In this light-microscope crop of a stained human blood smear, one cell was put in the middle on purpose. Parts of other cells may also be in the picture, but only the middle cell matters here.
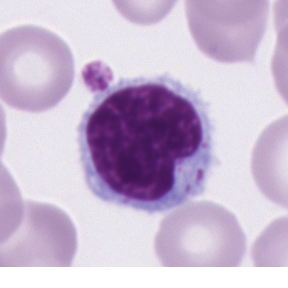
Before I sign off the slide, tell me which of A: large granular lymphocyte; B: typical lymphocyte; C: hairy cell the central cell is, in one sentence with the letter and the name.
Here the central cell is a large granular lymphocyte, and option A is correct.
